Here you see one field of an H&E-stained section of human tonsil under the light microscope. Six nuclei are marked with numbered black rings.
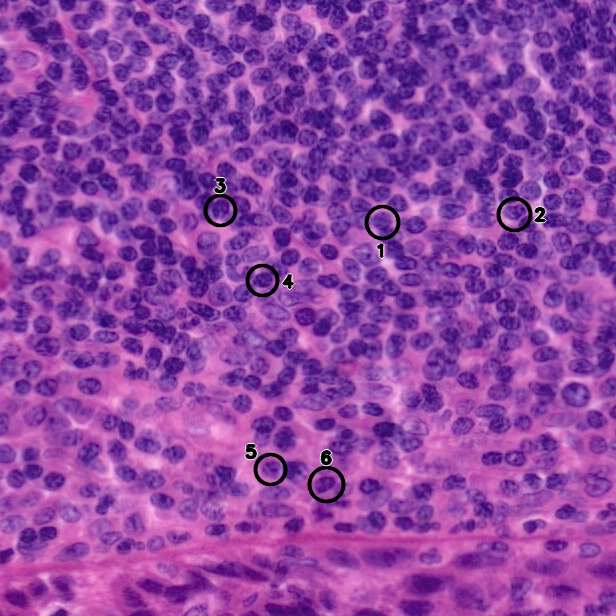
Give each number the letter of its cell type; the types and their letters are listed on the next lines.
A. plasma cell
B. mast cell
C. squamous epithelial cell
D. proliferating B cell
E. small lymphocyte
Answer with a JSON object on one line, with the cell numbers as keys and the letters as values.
{"1": "E", "2": "E", "3": "E", "4": "E", "5": "A", "6": "A"}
